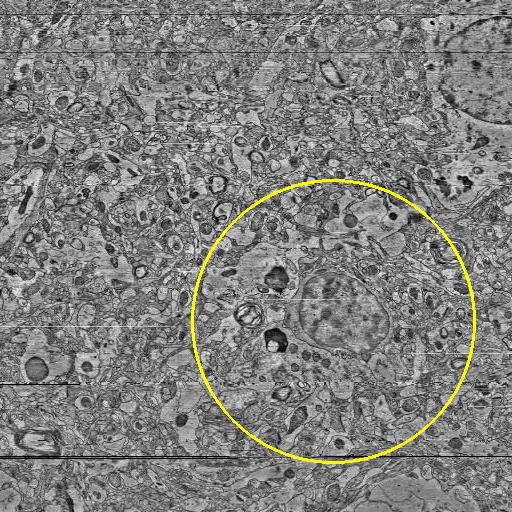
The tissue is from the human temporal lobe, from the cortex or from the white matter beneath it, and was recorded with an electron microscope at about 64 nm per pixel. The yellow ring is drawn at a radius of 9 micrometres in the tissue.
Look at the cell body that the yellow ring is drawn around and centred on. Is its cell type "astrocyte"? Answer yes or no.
no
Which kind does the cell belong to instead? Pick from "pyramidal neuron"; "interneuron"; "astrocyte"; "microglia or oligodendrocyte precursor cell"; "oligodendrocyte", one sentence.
It is an oligodendrocyte that the ring is centred on.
